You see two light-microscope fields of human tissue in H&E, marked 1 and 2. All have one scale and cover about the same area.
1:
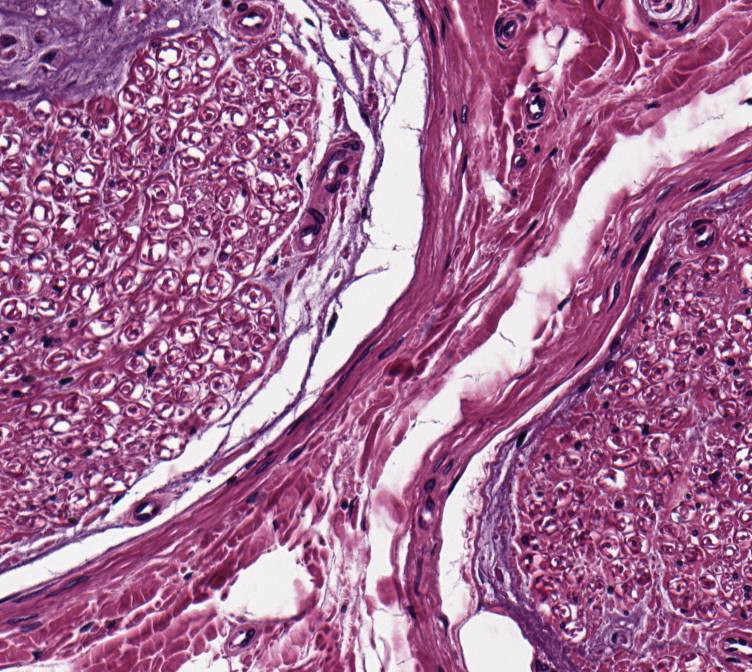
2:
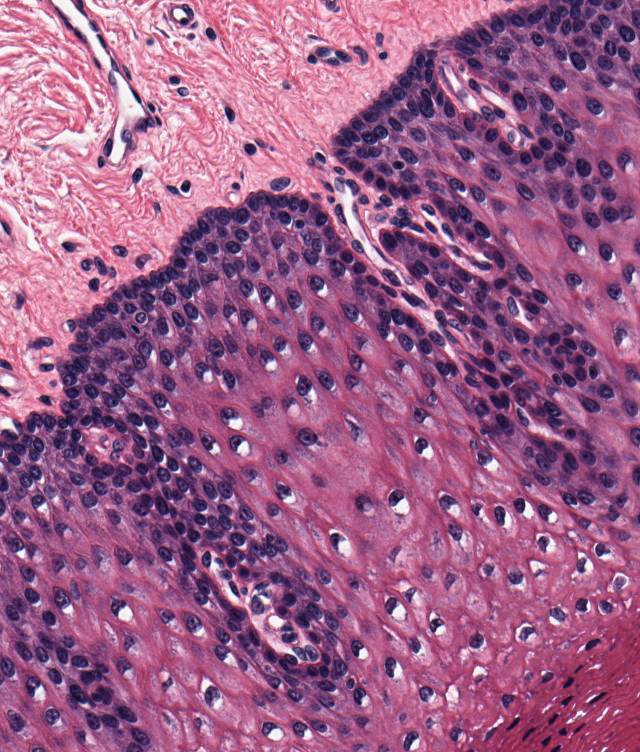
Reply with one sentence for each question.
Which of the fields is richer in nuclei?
It is picture 2 that has more nuclei in it.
